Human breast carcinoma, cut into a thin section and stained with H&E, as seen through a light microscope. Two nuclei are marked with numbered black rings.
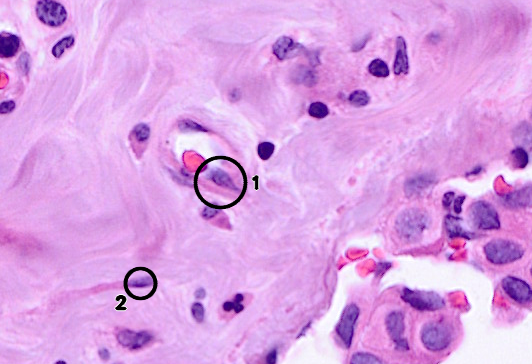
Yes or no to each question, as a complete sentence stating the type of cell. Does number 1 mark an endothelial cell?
Yes, cell 1 among the marked cells is an endothelial cell.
